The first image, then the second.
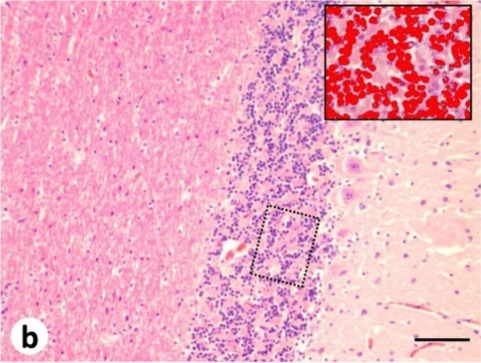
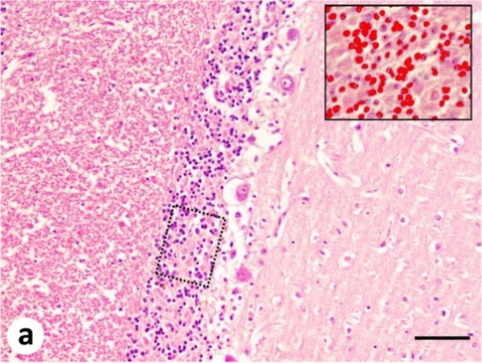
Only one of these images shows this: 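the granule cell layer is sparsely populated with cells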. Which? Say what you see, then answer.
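The second image. First image: a broad band of tightly packed small dark nuclei. Second image: a narrower band with fewer, more widely spaced small dark nuclei.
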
